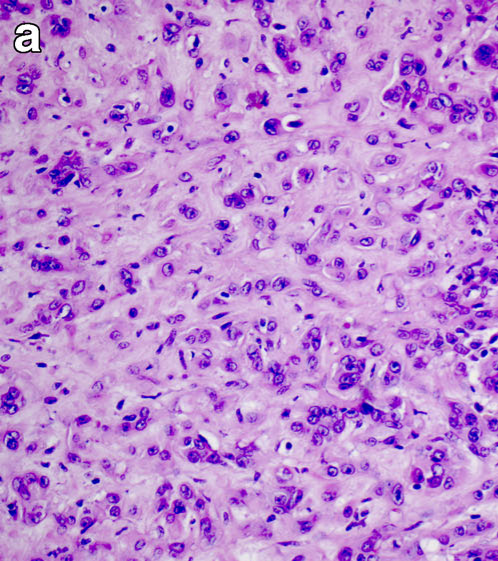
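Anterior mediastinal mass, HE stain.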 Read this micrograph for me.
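Tumour tissue of epithelioid cells set in an abundant pale pink myxo-collagenous matrix, the cells lying singly, in cords and in small nests. The cells are plump and polygonal with moderate pink cytoplasm and round to oval vesicular nuclei; some contain clear cytoplasmic vacuoles, in keeping with blister cells.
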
